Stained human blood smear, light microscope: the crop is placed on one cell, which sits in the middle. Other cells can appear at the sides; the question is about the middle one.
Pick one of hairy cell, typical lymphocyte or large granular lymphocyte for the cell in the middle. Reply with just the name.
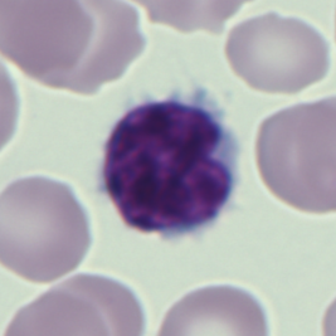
hairy cell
